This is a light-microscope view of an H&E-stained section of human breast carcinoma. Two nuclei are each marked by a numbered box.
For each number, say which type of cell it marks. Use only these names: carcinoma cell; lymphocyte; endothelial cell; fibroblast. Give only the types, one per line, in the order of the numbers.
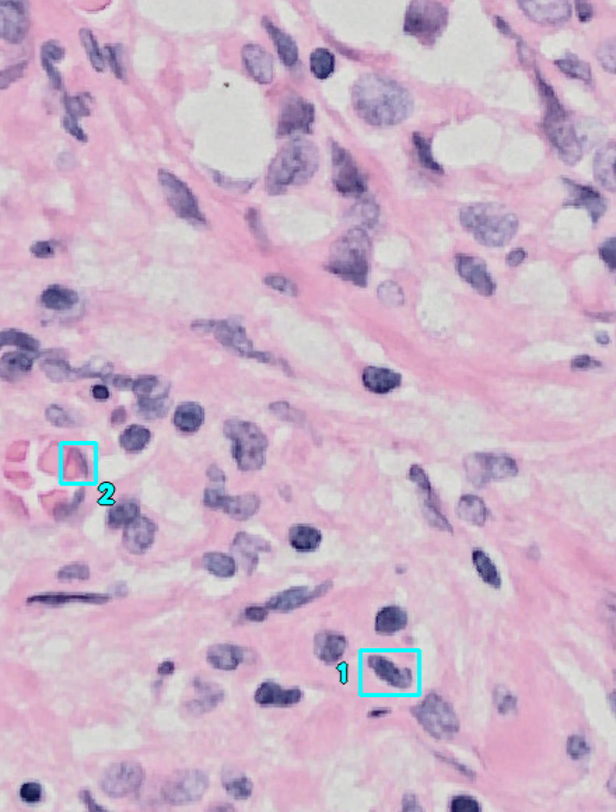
lymphocyte
endothelial cell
